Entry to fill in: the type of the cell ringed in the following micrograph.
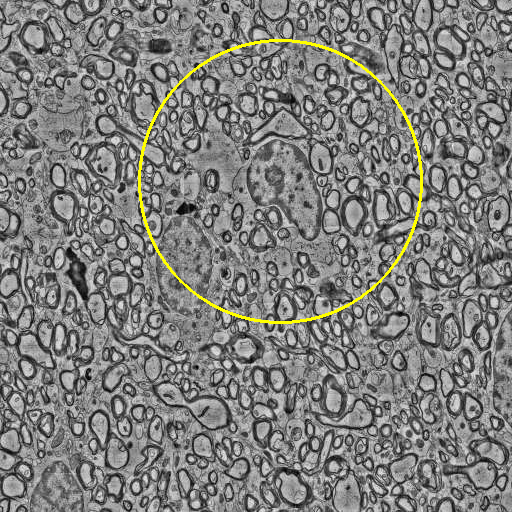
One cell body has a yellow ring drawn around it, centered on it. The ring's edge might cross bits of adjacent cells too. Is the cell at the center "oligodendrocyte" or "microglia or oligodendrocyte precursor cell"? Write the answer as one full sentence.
This entry names a microglial cell or oligodendrocyte precursor cell as the cell whose body lies at the ring's center.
